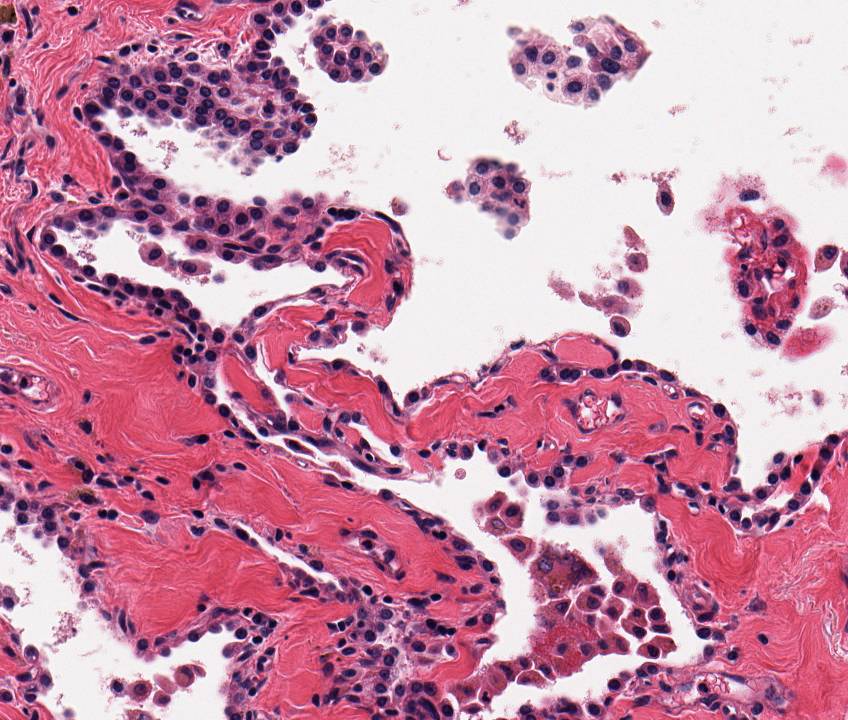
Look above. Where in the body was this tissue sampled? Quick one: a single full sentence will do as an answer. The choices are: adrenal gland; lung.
A piece of the lung was sampled for this section.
